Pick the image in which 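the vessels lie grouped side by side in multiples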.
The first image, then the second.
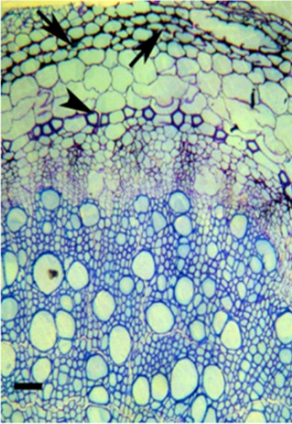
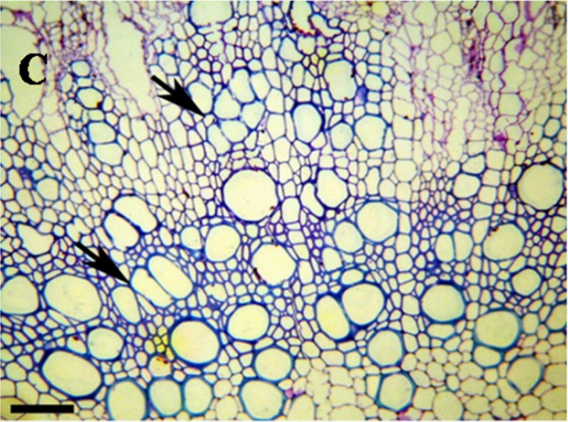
the second image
